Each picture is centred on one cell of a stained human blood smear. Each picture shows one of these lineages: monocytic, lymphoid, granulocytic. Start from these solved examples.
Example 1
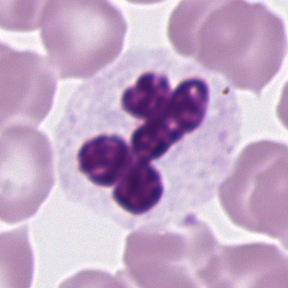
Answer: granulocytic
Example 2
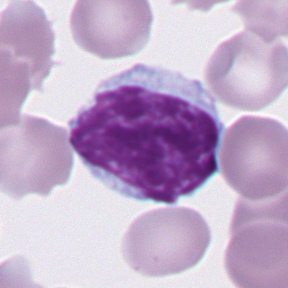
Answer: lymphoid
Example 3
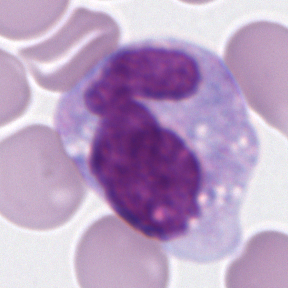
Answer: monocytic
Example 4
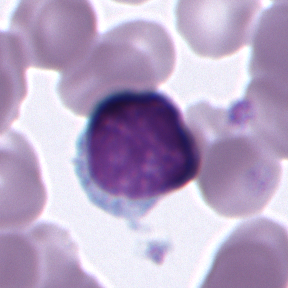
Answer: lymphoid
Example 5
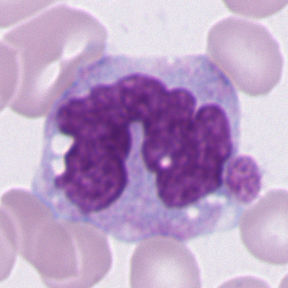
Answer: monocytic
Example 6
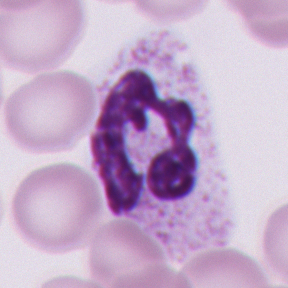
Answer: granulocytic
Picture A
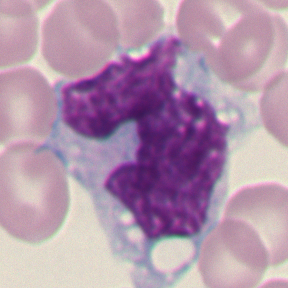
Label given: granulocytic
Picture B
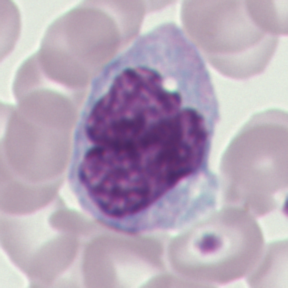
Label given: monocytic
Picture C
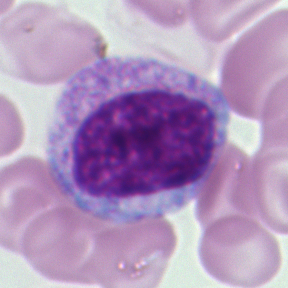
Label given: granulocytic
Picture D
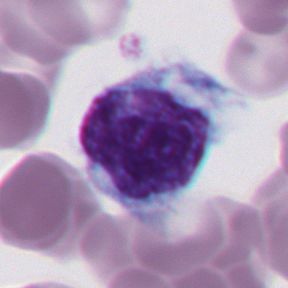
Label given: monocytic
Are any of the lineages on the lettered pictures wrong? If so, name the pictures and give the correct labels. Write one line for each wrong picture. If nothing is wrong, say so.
A: monocytic, not granulocytic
